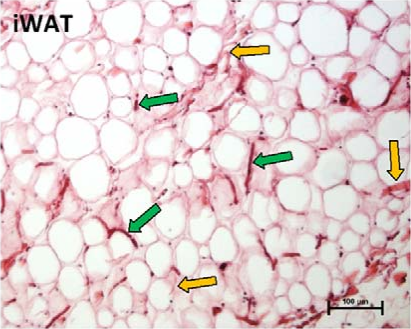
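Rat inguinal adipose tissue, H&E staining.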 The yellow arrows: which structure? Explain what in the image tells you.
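Collagen fibers. The arrows point at pale pink wavy filaments lying between the fat cells. The filaments form loose strands within the spaces between cells.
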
